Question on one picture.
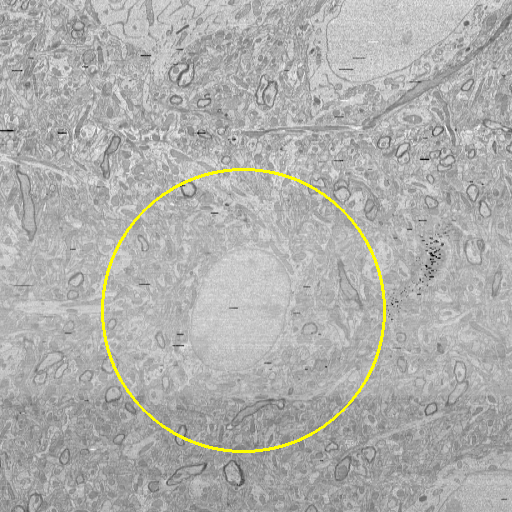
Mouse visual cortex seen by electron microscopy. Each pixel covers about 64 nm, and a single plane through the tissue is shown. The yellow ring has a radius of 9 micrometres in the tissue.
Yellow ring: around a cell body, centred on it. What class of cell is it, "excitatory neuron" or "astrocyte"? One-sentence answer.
This is an astrocyte, the cell the ring is centred on.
